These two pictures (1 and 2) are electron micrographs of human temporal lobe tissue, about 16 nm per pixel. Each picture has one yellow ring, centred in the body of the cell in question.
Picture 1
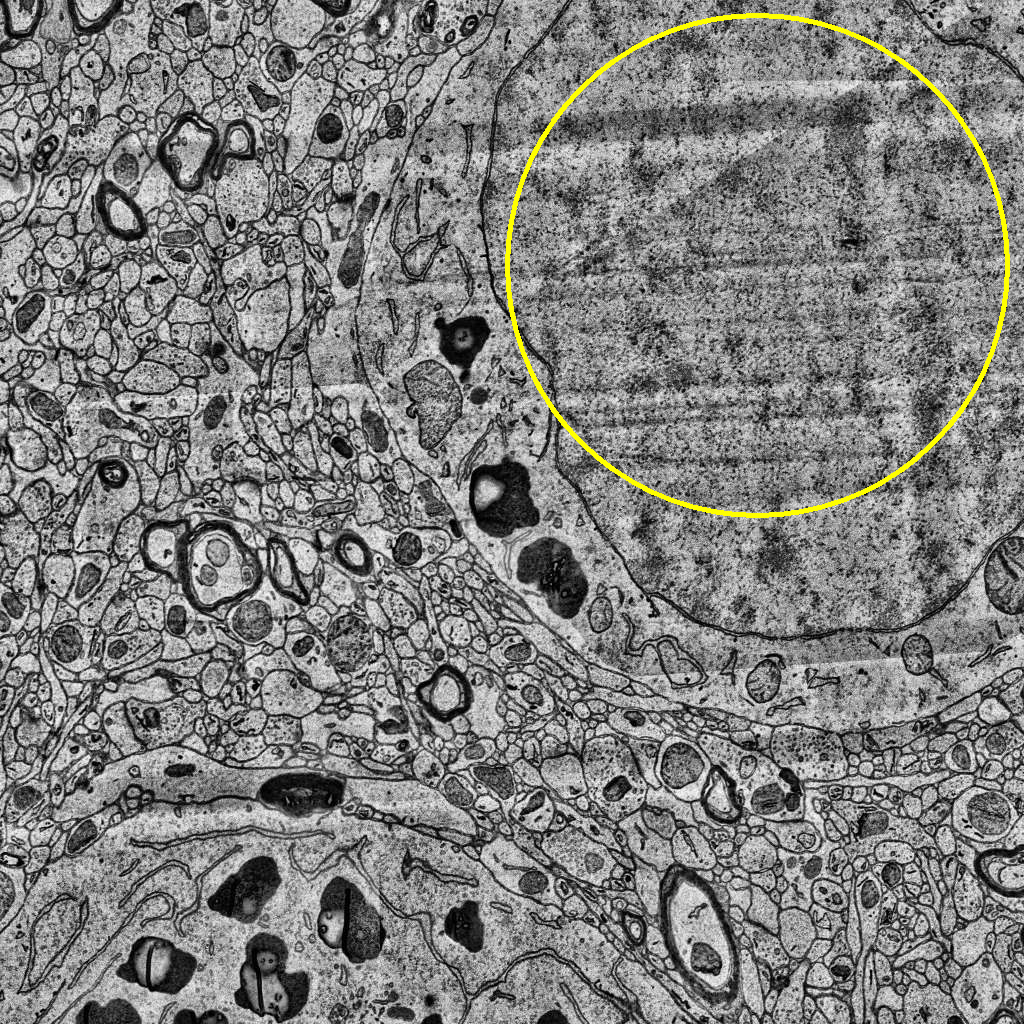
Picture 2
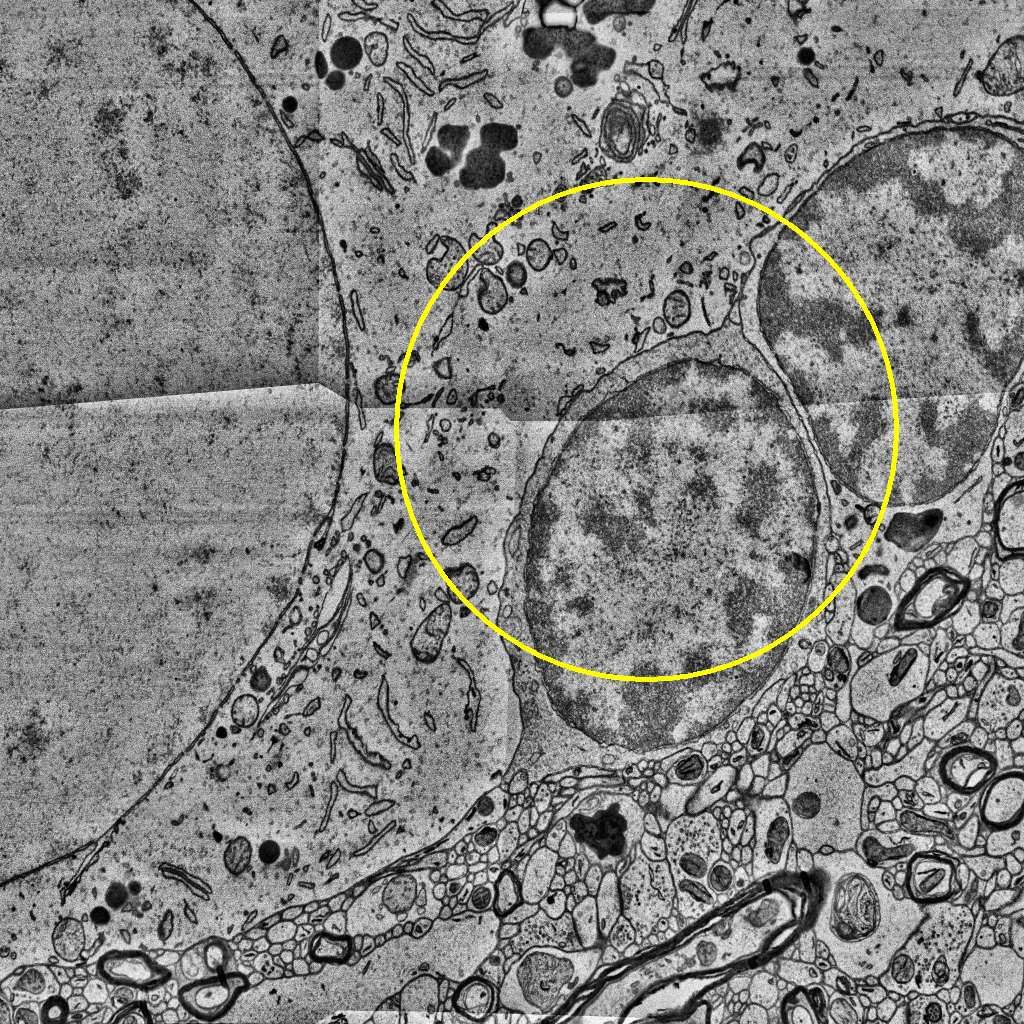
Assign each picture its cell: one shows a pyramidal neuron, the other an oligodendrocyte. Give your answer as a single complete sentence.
Picture 1 is of a pyramidal neuron, and picture 2 is of an oligodendrocyte.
